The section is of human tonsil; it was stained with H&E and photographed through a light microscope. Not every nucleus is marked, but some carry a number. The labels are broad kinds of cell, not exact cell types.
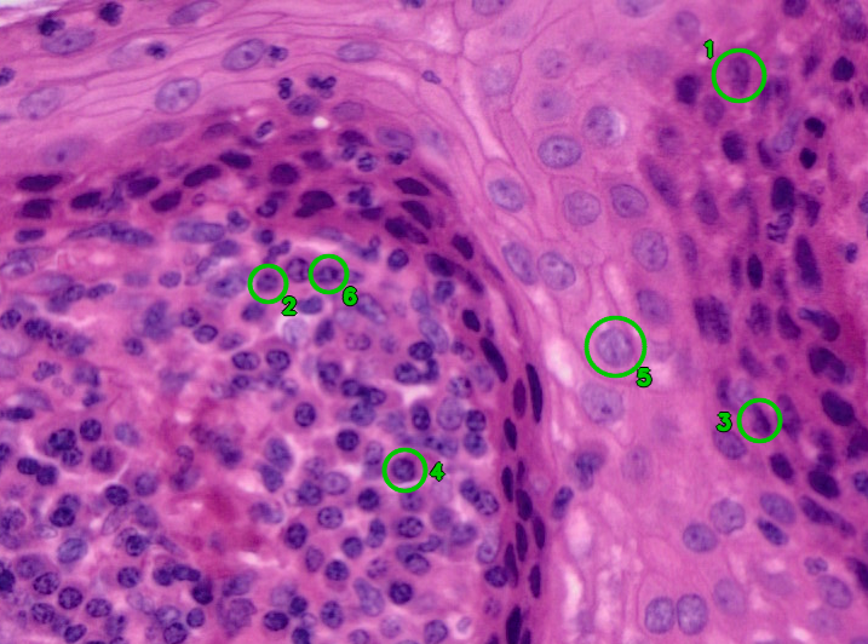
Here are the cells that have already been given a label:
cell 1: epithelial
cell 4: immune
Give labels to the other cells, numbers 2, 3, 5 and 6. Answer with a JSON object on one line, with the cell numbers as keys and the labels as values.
{"2": "immune", "3": "epithelial", "5": "epithelial", "6": "immune"}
